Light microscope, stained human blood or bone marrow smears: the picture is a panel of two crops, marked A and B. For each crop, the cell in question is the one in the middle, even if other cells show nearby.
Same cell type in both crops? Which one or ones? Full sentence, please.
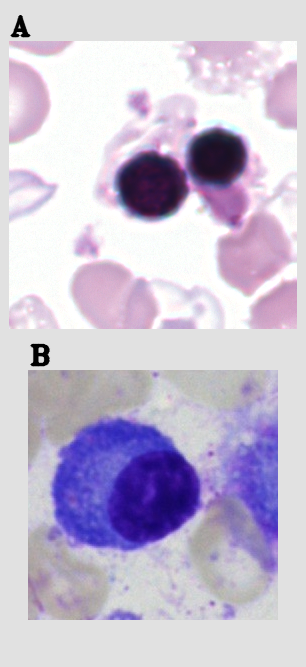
No, crop A gives us an erythroblast and crop B gives us a plasma cell.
